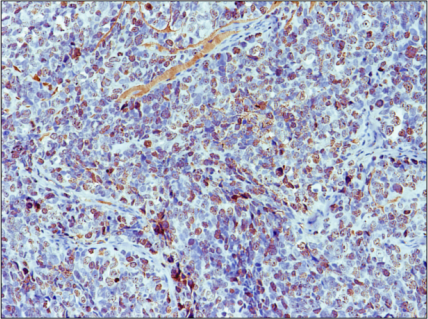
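Thin bands of paler, spindle-shaped stromal cells run between the tumor cell sheets. A long wavy brown-tinged fibrous strand crosses the upper part of the field.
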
